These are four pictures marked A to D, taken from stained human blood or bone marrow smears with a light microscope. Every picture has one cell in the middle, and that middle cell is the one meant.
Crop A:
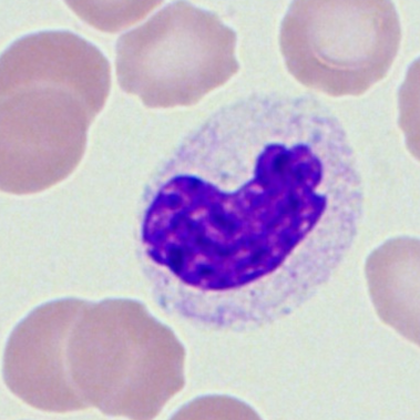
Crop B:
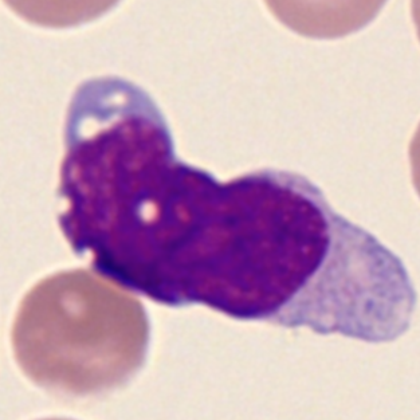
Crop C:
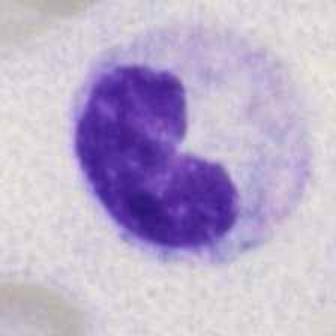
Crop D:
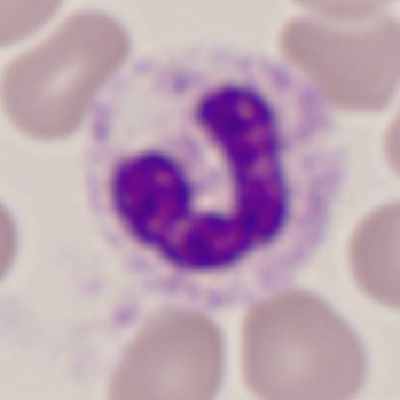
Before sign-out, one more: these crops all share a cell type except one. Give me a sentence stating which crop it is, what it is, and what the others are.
The pattern of band neutrophils across the crops is broken only by crop B, which shows a monocyte.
